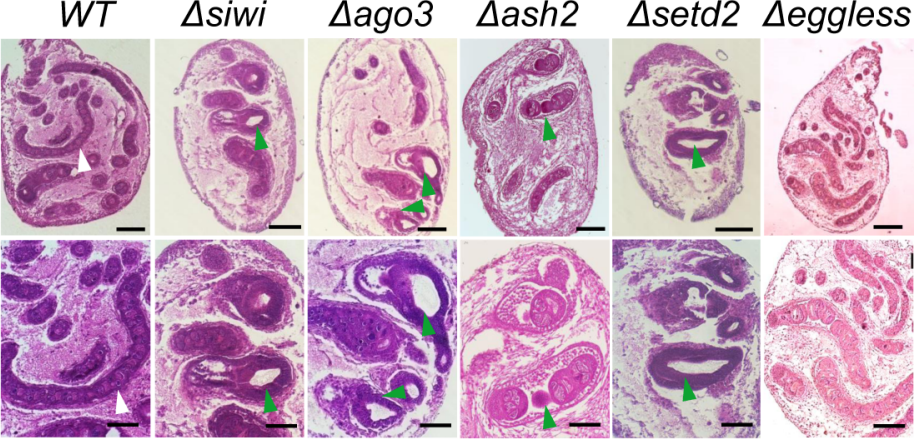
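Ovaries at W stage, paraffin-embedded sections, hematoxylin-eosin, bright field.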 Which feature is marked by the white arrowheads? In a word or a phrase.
normal ovariole structures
